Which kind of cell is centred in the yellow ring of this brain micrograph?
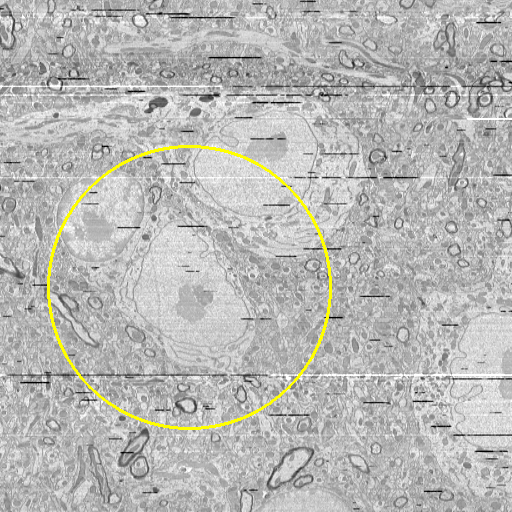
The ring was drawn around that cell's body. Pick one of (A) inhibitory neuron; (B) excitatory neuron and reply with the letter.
A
